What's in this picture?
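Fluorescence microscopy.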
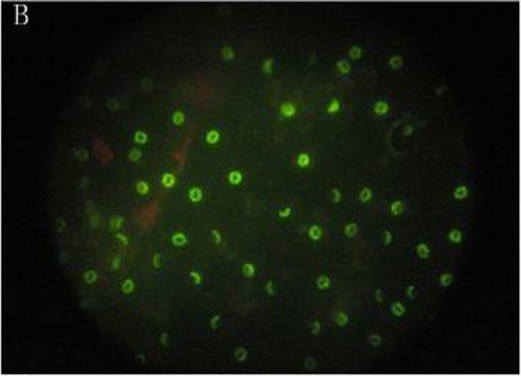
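This is a low-magnification view of a leaf epidermis in which many stomata, each formed by a pair of guard cells, are scattered fairly evenly across the field. The guard cell pairs glow bright green and appear as small rings or paired kidney-shaped halves around a dark central pore. The surrounding epidermal cells are almost dark, apart from faint reddish patches.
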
